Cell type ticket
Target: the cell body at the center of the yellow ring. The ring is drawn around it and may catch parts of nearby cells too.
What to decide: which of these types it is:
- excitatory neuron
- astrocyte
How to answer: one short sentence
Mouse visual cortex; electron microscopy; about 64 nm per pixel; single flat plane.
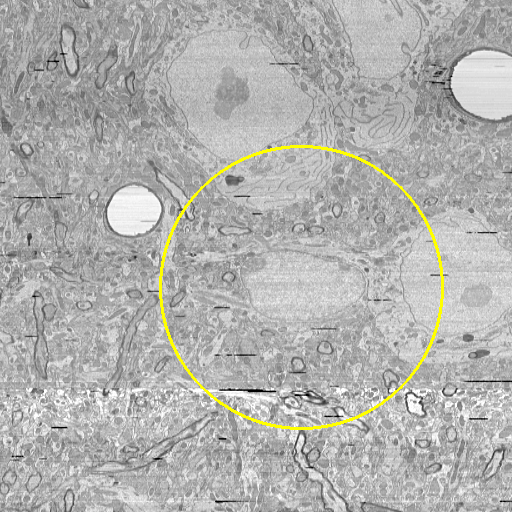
The cell at the center of the ring is an astrocyte.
